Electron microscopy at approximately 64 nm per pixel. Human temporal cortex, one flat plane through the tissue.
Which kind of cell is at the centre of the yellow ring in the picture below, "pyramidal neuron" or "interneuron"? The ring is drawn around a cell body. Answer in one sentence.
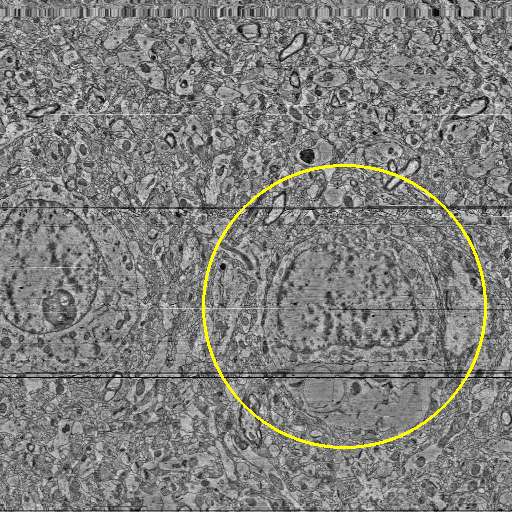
The ring's central cell is an interneuron.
